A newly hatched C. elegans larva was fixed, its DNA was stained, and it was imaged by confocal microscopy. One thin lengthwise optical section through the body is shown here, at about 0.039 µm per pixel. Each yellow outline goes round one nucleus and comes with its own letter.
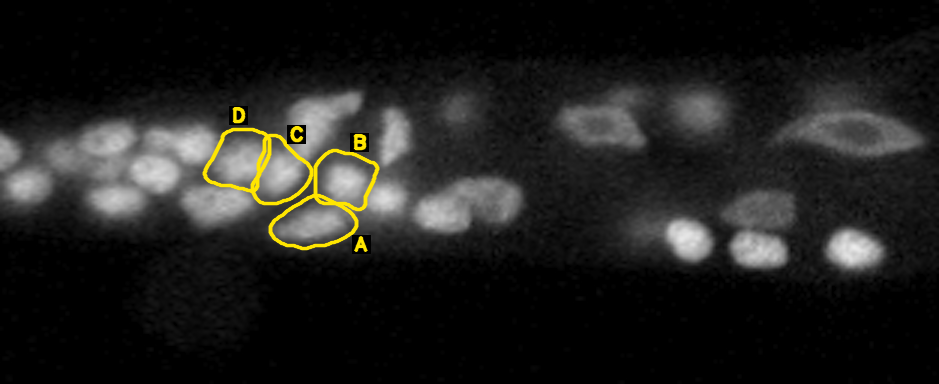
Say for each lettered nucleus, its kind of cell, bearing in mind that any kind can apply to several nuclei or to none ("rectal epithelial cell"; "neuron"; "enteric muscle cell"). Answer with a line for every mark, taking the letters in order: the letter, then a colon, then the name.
A: rectal epithelial cell
B: rectal epithelial cell
C: rectal epithelial cell
D: neuron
